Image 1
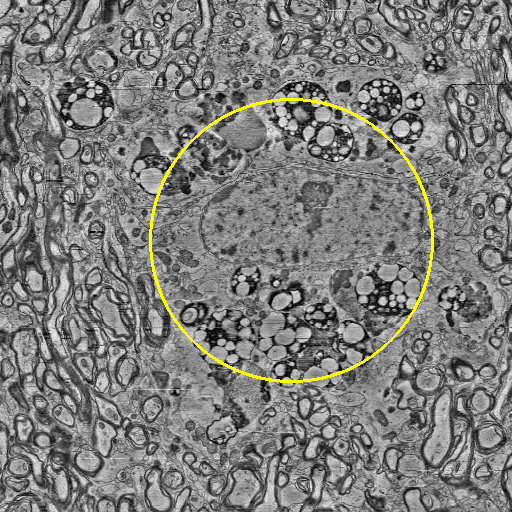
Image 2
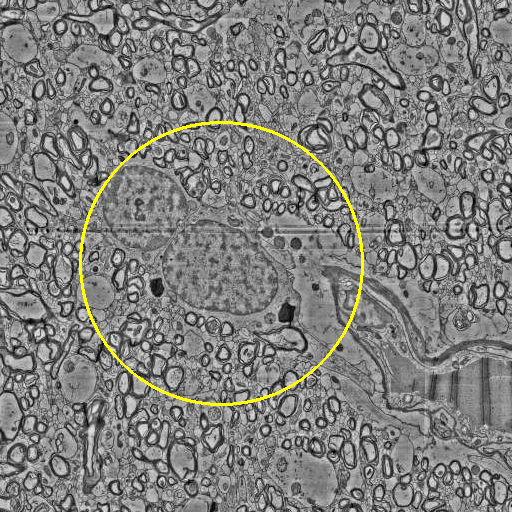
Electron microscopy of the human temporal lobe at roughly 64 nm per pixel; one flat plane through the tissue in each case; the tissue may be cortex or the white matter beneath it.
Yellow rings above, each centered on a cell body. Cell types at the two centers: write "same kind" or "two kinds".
two kinds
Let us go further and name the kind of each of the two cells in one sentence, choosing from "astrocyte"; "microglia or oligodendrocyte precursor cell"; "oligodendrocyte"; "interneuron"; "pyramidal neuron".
The ring of the first picture is on an astrocyte, the ring of the second on an oligodendrocyte.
